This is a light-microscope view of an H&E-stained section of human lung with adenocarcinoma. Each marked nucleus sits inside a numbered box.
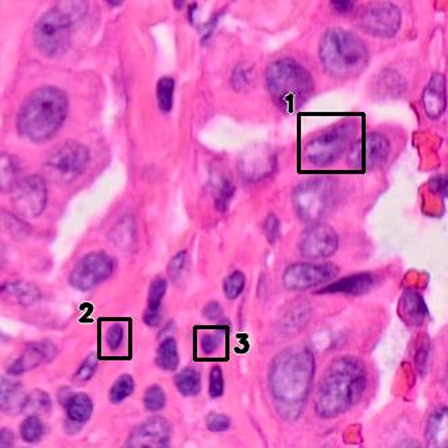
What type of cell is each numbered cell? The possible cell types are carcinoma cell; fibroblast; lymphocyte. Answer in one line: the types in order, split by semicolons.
carcinoma cell; lymphocyte; lymphocyte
